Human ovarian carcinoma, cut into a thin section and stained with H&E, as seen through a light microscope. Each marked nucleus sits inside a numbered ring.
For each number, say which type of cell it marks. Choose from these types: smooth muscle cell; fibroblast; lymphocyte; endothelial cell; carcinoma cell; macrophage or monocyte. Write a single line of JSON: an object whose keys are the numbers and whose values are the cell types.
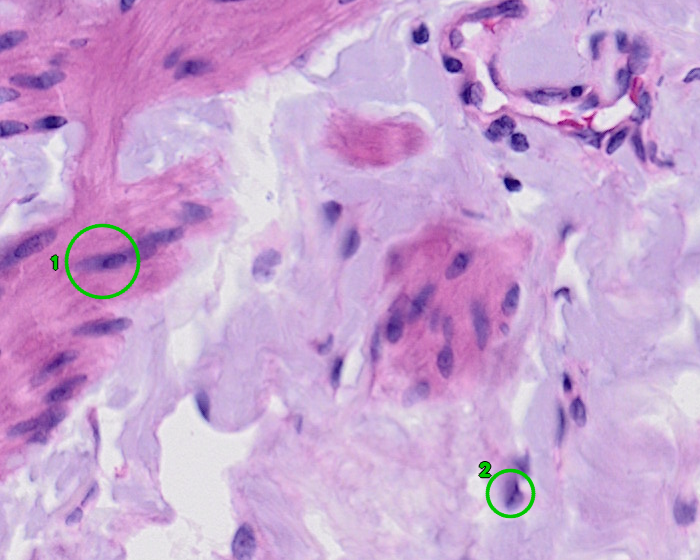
{"1": "smooth muscle cell", "2": "fibroblast"}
